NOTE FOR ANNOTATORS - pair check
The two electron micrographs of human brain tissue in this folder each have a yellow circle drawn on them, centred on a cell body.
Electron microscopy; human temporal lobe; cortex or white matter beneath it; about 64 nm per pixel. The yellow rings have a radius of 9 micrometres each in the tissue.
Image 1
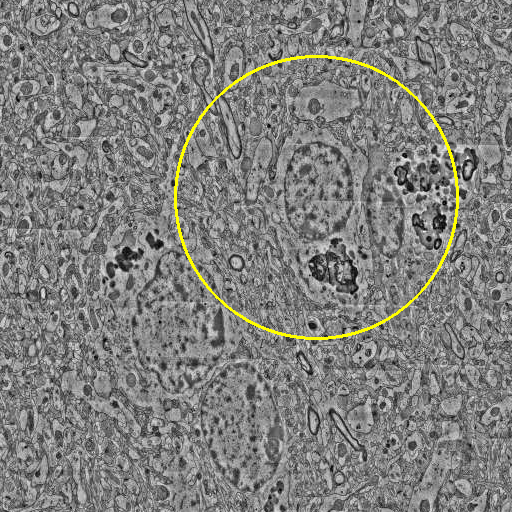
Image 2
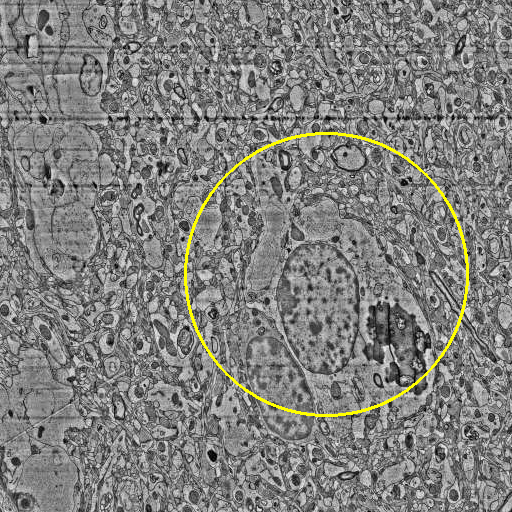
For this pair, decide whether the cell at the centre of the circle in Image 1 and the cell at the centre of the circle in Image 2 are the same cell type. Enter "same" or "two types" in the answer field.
same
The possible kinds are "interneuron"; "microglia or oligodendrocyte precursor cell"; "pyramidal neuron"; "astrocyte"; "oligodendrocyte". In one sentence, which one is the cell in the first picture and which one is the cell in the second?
Each of the two rings surrounds an astrocyte.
